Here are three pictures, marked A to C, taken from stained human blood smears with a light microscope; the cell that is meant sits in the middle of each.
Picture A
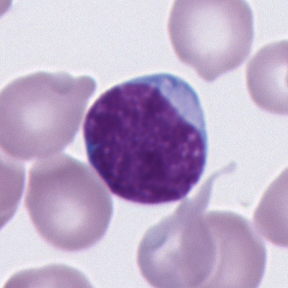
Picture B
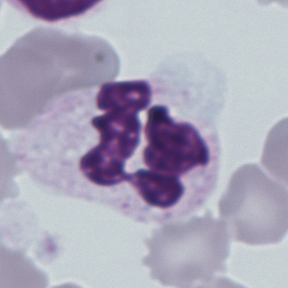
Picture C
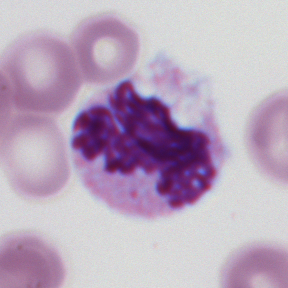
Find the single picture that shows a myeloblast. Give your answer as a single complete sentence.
Picture A shows the myeloblast.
